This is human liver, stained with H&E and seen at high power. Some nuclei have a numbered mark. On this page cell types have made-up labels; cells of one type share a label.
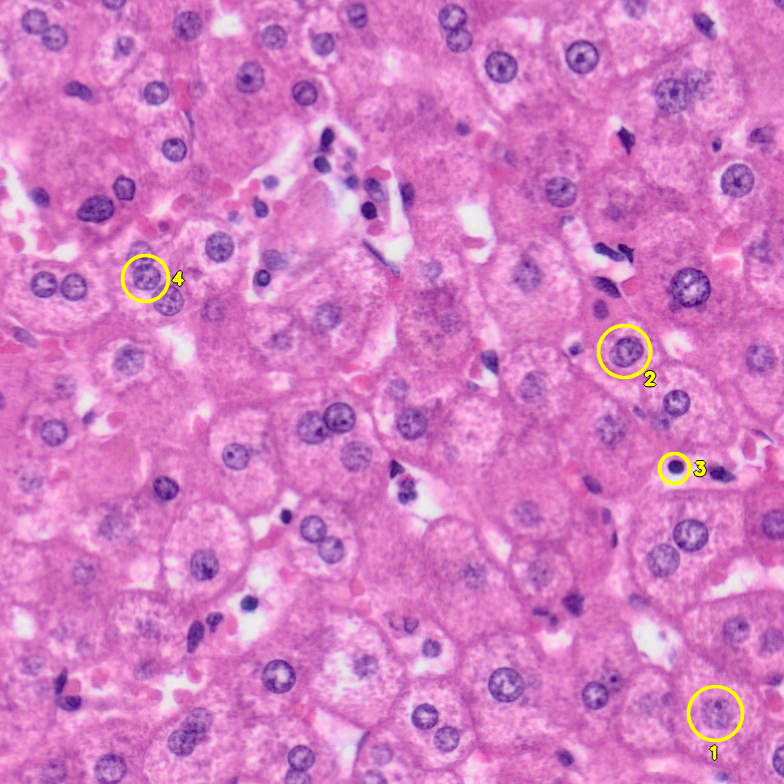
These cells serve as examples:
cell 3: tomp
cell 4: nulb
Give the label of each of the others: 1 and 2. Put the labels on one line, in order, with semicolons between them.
nulb; nulb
